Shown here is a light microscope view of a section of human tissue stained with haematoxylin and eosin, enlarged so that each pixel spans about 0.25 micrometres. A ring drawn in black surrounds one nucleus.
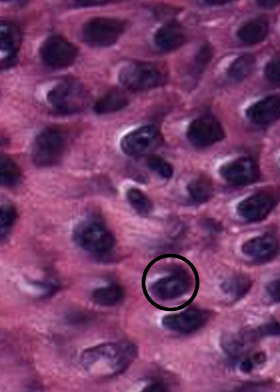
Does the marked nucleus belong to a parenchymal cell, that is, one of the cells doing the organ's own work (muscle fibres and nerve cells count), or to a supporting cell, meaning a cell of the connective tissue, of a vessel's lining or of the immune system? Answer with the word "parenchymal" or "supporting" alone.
parenchymal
